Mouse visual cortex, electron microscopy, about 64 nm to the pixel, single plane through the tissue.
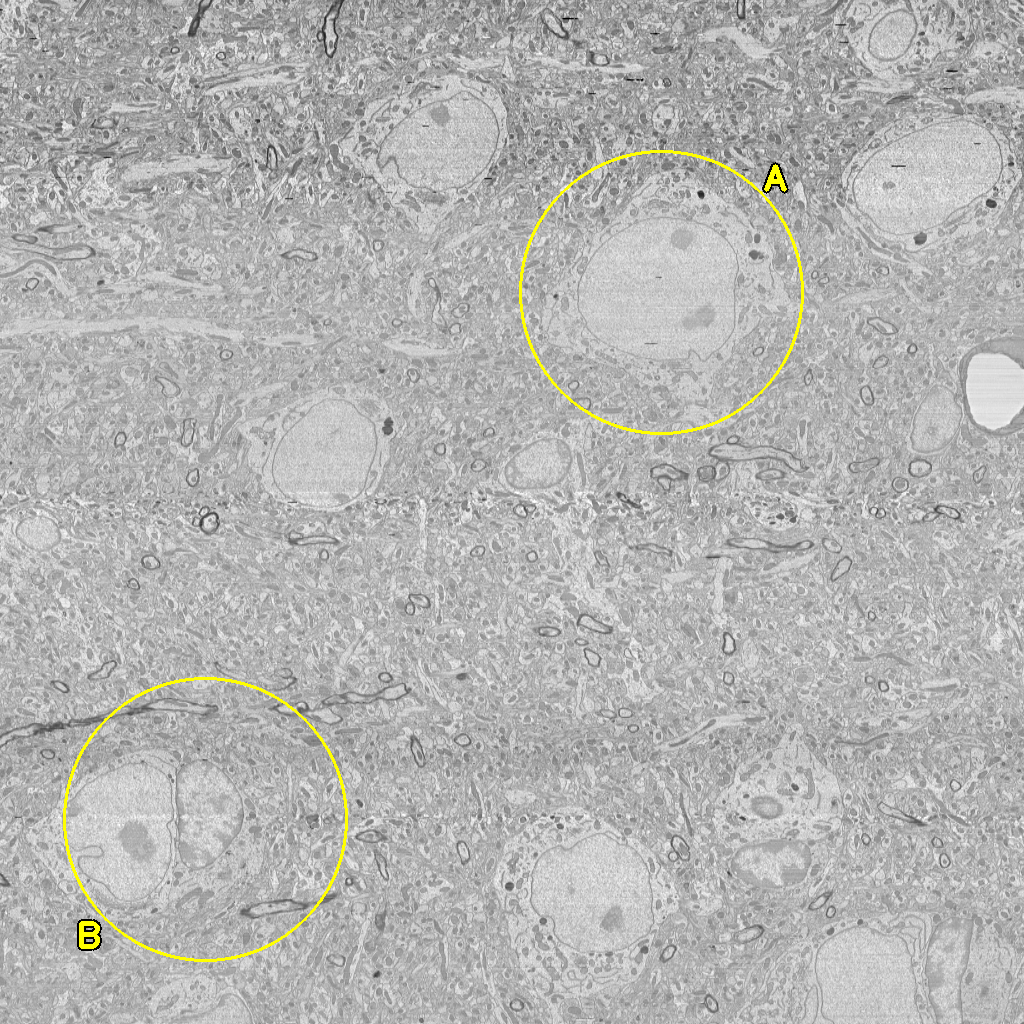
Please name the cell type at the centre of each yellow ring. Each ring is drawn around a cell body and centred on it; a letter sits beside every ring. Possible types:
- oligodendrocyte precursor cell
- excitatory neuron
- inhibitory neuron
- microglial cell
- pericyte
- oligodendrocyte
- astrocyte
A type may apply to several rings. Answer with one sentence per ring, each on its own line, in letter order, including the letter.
Ring A is centred on the cell body of an excitatory neuron.
Ring B is centred on the cell body of an oligodendrocyte.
